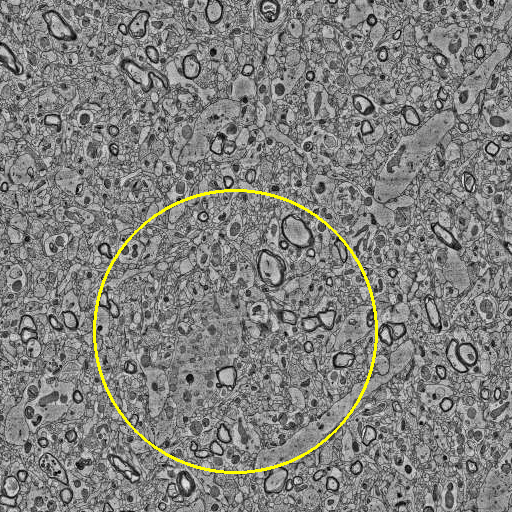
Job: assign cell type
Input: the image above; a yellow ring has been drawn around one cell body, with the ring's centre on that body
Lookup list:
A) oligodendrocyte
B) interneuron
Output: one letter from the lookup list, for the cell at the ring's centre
A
